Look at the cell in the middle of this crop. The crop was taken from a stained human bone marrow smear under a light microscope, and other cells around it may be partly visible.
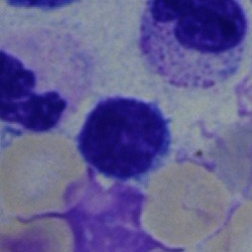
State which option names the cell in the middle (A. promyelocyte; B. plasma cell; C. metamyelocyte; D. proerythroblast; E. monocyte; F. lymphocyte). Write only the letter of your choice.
F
